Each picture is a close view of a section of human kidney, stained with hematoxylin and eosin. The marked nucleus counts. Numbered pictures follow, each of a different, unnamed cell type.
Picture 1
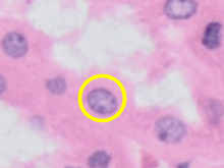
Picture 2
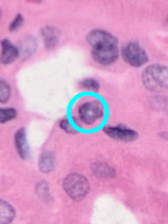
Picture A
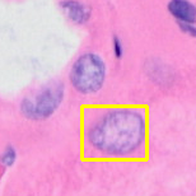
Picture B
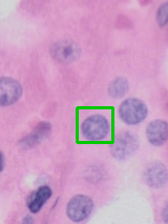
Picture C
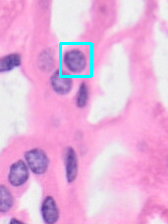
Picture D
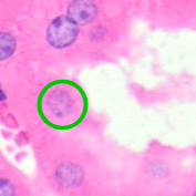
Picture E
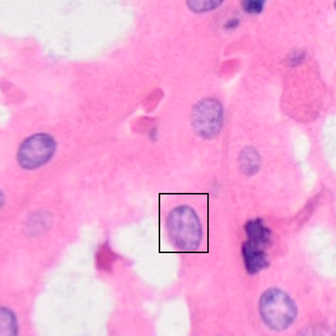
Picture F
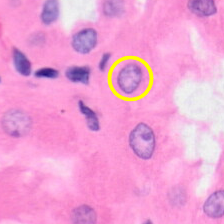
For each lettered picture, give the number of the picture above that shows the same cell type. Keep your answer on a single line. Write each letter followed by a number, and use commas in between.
A 1, B 2, C 2, D 1, E 1, F 1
